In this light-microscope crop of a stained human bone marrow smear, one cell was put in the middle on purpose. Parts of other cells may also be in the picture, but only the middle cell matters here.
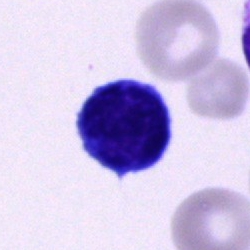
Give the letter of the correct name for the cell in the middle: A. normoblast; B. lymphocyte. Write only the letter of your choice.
B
